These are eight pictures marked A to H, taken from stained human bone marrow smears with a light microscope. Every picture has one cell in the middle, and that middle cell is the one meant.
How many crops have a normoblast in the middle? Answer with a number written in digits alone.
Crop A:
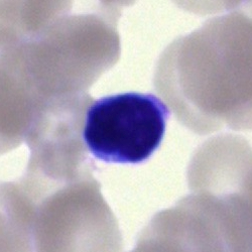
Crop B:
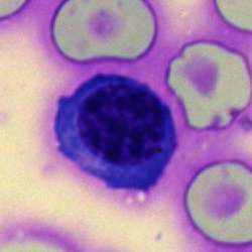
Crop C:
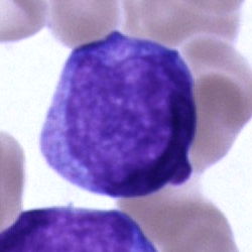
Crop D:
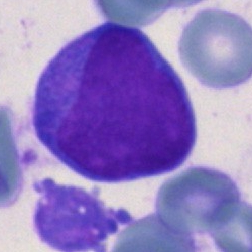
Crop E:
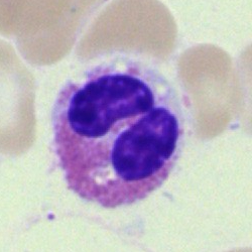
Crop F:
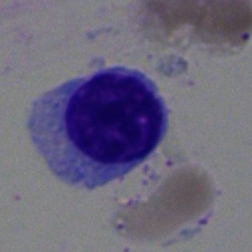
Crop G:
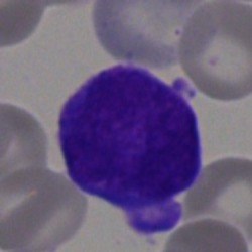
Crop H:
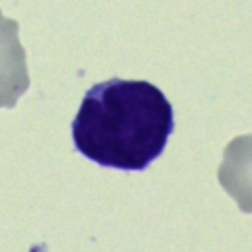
2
